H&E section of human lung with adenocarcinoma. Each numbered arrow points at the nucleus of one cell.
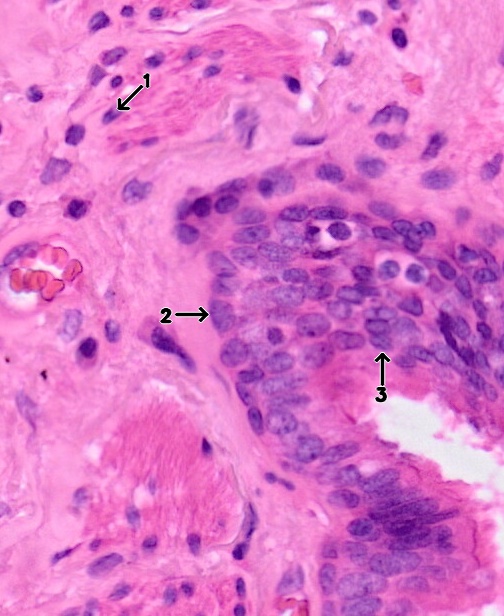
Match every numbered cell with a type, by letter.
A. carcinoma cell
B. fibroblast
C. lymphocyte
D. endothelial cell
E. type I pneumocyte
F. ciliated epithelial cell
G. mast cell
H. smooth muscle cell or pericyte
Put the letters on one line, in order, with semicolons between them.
H; F; F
